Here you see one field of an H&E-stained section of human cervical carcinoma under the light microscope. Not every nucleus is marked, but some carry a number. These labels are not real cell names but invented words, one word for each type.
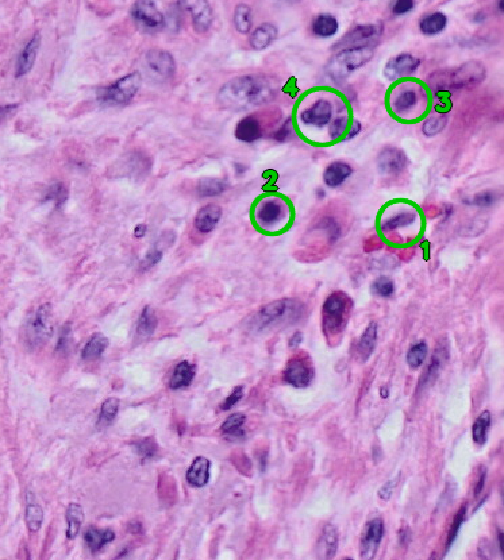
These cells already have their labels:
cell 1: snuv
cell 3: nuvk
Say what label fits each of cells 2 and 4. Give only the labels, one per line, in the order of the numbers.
nuvk
nuvk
